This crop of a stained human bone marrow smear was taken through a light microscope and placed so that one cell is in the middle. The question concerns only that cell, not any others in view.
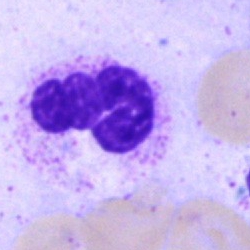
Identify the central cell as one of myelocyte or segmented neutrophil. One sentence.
Here the centrally located cell is a segmented neutrophil.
